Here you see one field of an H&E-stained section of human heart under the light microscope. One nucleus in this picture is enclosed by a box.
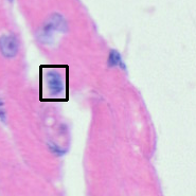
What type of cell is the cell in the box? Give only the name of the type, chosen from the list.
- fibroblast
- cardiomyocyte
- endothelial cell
fibroblast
